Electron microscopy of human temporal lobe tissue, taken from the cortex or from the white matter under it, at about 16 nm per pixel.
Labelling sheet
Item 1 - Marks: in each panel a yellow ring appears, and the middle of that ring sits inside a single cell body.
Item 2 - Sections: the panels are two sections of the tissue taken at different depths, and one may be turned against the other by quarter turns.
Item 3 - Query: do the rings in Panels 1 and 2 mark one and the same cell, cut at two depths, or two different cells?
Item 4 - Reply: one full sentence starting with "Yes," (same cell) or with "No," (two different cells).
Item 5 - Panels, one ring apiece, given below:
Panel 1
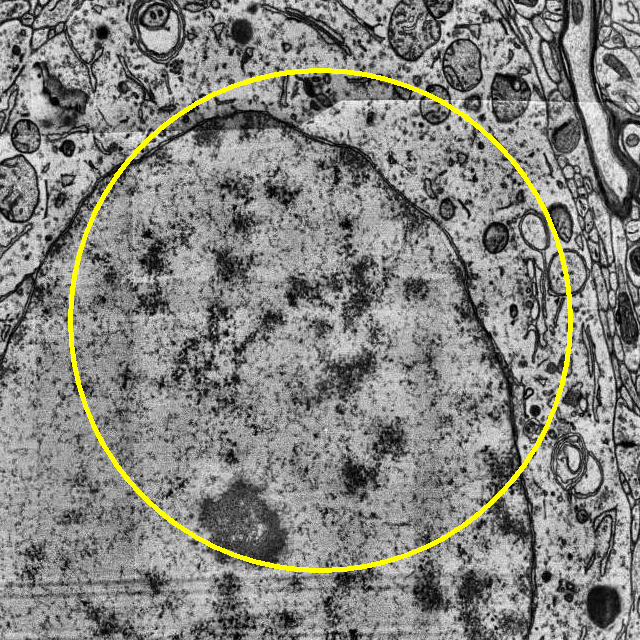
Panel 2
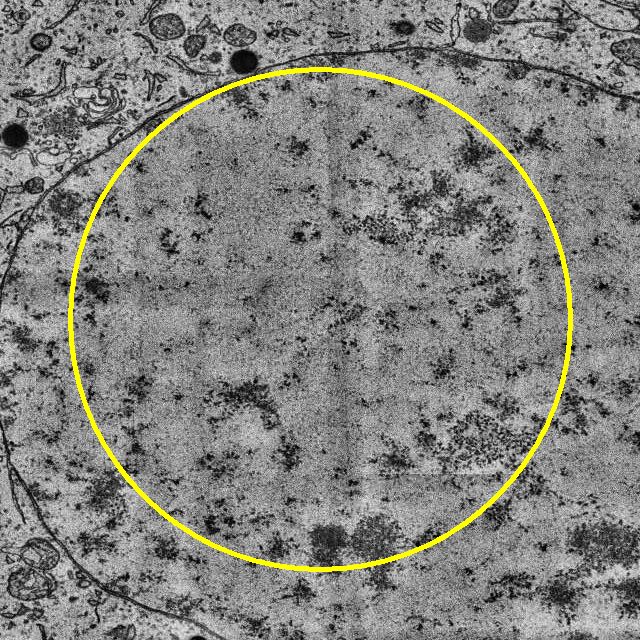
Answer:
No, the two rings outline two separate cells in this micrograph.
